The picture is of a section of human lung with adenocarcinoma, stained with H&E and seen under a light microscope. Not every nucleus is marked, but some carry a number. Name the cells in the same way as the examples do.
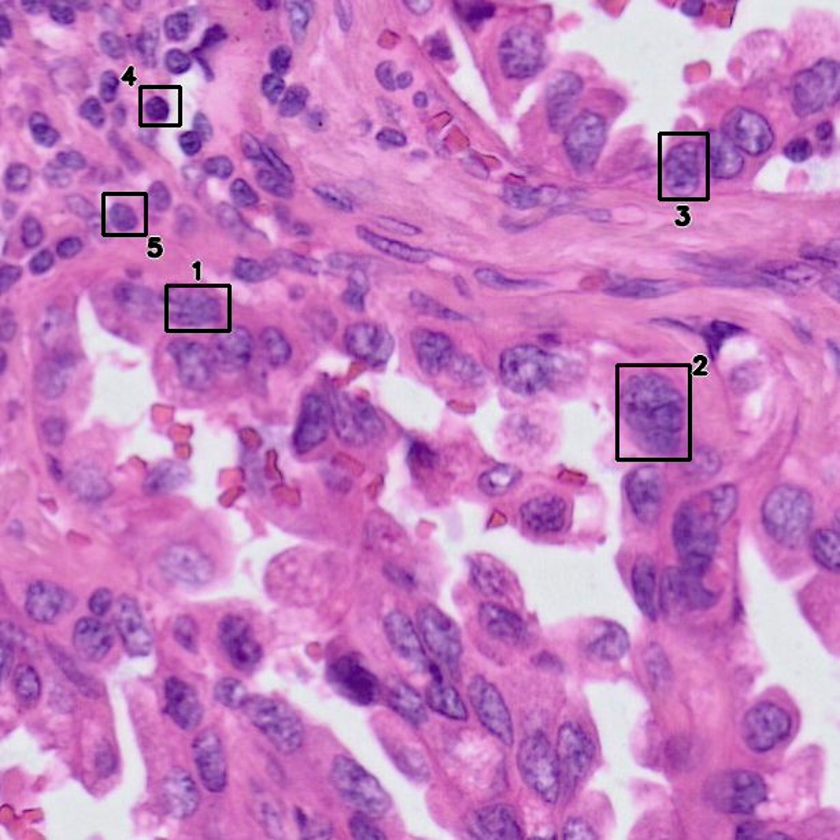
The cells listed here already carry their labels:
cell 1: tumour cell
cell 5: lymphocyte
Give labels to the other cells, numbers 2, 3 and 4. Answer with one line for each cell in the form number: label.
2: tumour cell
3: tumour cell
4: lymphocyte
